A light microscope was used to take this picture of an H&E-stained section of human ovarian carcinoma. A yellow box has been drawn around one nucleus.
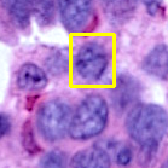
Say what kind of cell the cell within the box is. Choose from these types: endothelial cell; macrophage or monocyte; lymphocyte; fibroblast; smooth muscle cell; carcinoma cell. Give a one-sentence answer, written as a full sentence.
The identity of the cell within the box is that of a macrophage or monocyte.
